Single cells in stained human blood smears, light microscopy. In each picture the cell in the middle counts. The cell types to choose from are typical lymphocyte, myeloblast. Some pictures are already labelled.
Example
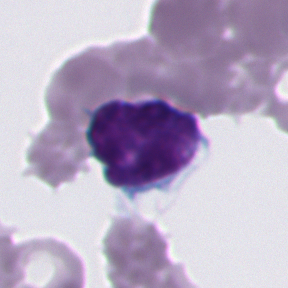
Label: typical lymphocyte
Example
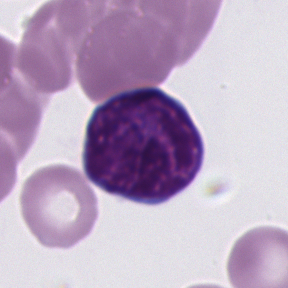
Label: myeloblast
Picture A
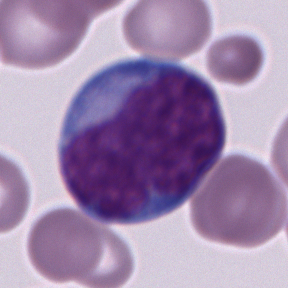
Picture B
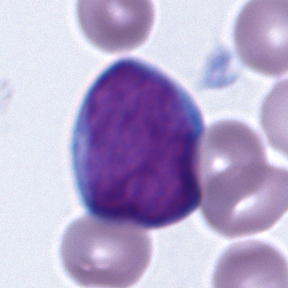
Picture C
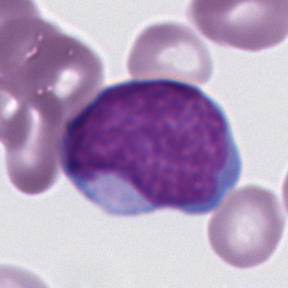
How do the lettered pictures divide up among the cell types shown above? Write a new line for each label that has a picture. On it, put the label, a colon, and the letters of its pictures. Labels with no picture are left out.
myeloblast: A, B, C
